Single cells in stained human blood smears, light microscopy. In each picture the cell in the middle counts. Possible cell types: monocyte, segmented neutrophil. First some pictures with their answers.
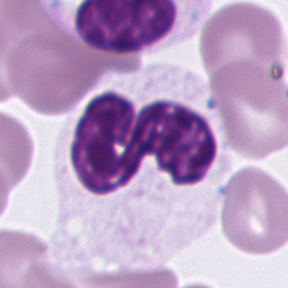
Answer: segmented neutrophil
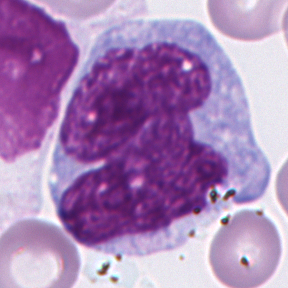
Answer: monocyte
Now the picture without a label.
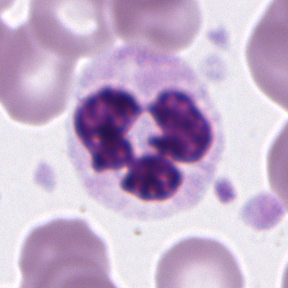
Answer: segmented neutrophil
